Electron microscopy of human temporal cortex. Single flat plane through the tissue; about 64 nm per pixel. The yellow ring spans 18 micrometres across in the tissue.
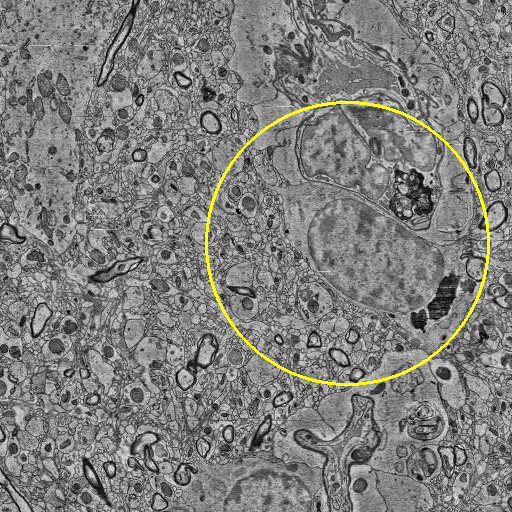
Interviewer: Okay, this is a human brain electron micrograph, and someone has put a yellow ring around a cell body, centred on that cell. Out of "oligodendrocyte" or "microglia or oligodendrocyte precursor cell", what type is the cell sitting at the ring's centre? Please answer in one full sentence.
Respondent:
The cell at the centre of the yellow ring in this picture is an oligodendrocyte.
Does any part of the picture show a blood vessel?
Yes, a blood vessel can be seen.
